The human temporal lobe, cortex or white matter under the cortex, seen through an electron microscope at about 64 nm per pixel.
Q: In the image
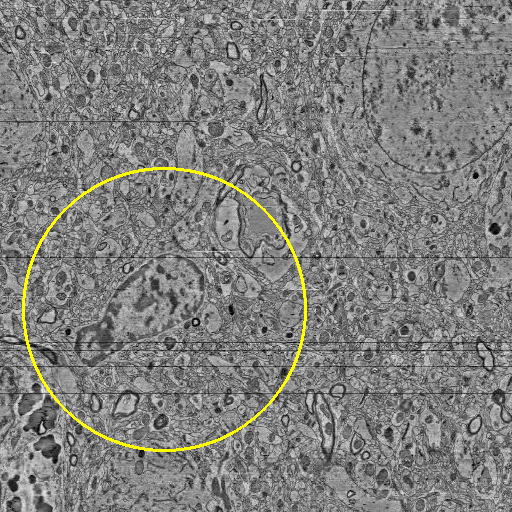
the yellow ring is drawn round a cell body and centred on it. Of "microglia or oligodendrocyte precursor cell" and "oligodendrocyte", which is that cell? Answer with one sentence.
The cell centred in the ring is a microglial cell or oligodendrocyte precursor cell.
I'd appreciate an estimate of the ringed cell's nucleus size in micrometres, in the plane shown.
The nucleus of the ringed cell is clearly longer than it is wide in this plane, about 7 by 4 micrometres.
